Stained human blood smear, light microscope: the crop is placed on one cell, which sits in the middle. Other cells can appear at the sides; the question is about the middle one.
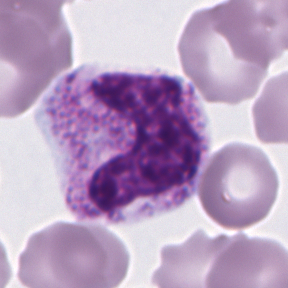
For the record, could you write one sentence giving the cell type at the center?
For this crop, the central cell is a metamyelocyte.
